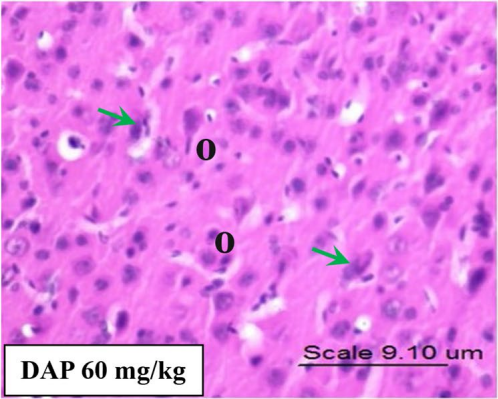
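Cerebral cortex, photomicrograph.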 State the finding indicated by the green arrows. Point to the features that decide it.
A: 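Neurons with shrunken, condensed, and clumped nuclear chromatin. The arrowed cells have small, dark, densely stained nuclei. Their chromatin looks clumped rather than pale and open.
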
